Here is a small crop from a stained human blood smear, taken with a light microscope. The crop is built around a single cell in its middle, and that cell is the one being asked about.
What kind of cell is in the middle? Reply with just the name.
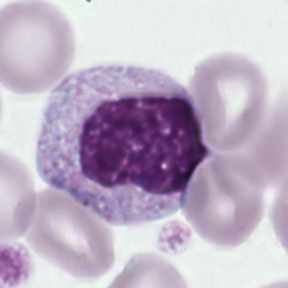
myelocyte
